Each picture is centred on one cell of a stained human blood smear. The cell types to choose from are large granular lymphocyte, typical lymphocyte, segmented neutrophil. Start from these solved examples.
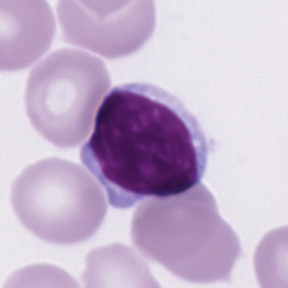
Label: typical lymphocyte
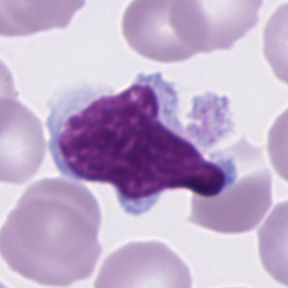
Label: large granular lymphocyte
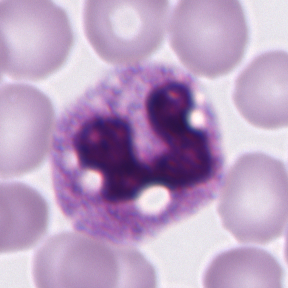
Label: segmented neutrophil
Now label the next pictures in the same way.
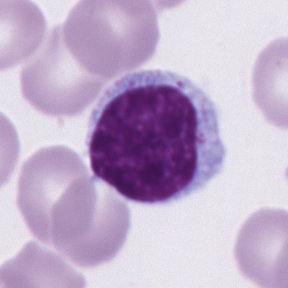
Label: large granular lymphocyte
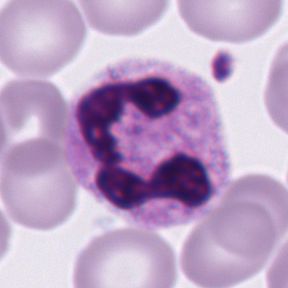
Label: segmented neutrophil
